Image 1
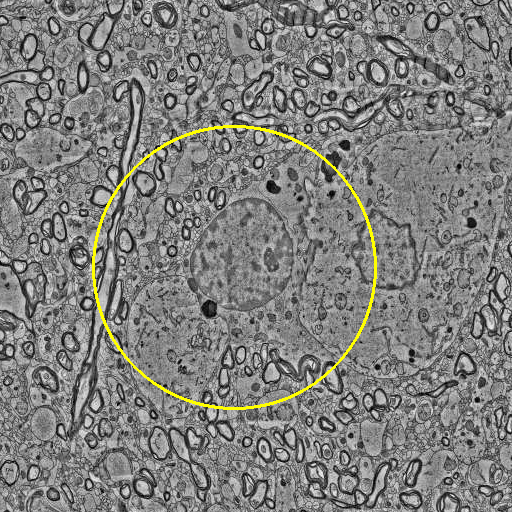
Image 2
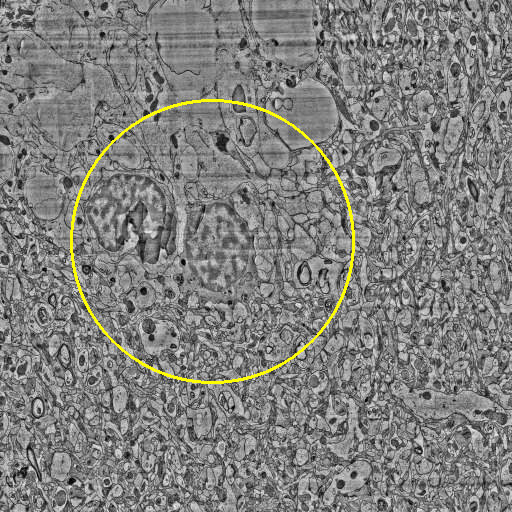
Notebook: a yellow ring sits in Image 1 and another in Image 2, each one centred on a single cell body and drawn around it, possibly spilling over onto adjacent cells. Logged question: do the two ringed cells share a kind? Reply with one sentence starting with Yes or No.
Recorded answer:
Yes, both centre cells inside the rings of Image 1 and Image 2 share one kind.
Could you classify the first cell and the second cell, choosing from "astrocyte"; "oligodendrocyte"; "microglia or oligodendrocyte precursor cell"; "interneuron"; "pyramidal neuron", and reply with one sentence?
In each picture the ringed cell is an oligodendrocyte.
